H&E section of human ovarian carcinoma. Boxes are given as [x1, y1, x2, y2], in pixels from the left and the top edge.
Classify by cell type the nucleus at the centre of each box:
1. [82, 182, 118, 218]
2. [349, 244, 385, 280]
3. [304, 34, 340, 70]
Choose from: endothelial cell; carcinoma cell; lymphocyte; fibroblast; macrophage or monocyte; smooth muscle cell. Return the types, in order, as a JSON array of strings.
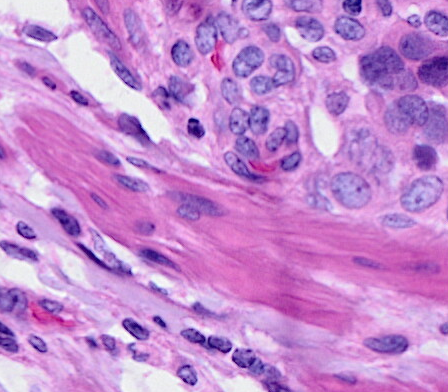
["smooth muscle cell", "smooth muscle cell", "macrophage or monocyte"]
